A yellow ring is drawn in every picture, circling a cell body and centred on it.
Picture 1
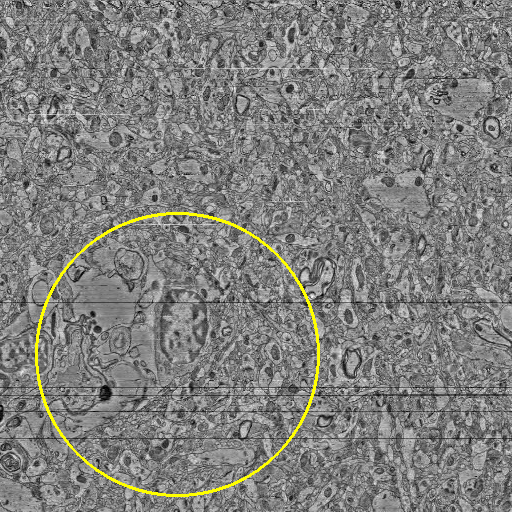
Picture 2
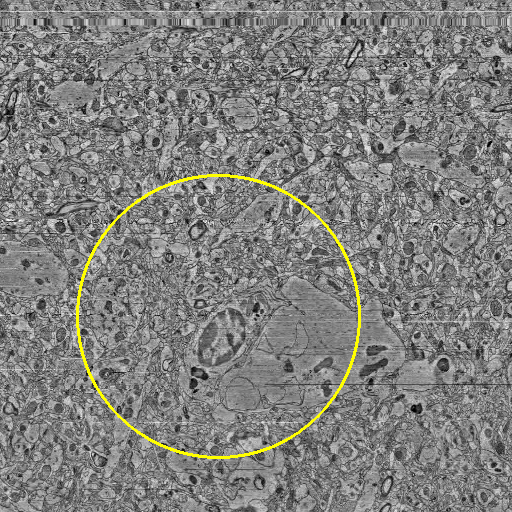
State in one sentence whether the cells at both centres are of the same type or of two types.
The cells at the two ring centres, one per picture, are of the same type.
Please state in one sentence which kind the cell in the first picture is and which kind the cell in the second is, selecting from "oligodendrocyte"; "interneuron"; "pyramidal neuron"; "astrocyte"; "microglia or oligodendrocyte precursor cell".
In each picture the ringed cell is a microglial cell or oligodendrocyte precursor cell.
